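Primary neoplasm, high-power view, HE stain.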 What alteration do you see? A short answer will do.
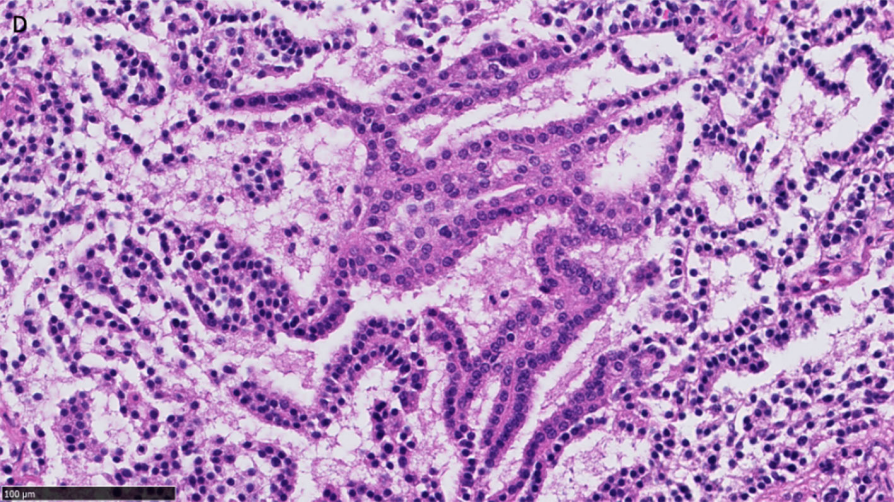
Monomorphic nuclei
